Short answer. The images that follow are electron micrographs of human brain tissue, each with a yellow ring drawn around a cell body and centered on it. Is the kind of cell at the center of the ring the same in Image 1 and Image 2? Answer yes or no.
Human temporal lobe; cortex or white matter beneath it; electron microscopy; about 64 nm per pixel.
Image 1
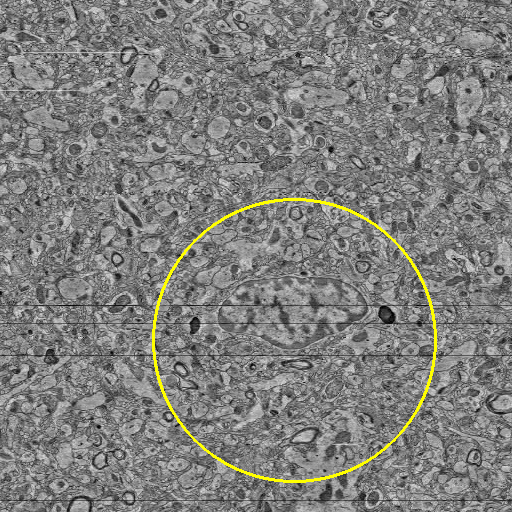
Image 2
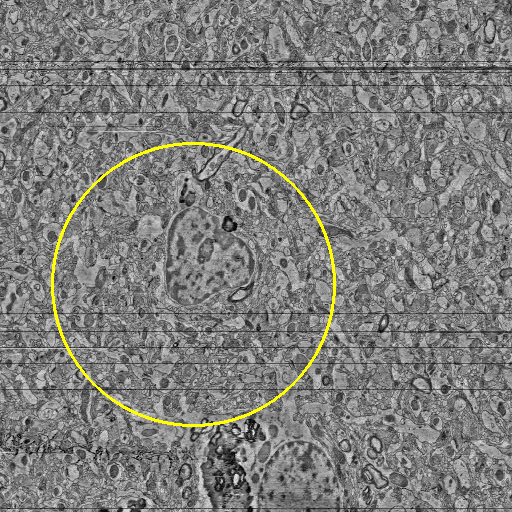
yes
